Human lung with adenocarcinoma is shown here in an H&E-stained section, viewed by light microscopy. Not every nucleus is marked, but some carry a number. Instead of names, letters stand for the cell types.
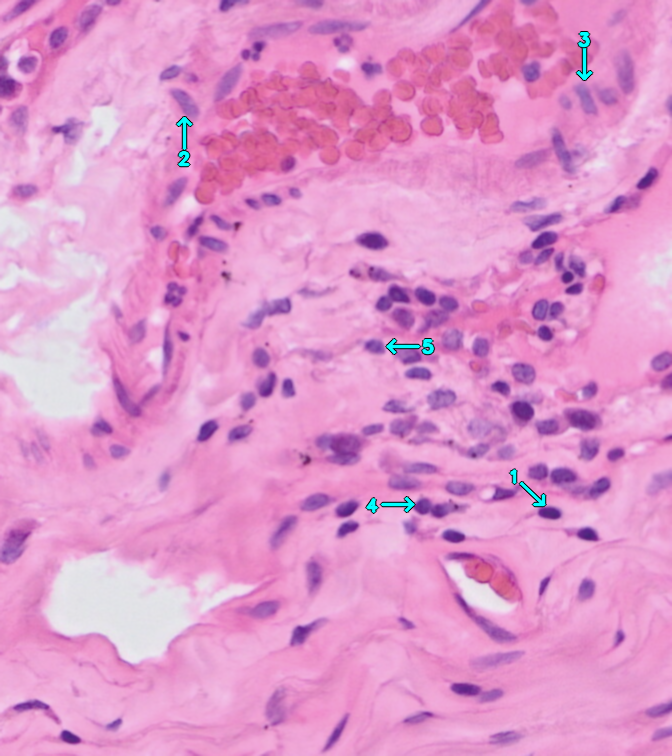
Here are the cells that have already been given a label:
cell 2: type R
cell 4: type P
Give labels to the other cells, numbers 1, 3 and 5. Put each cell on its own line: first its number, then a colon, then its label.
1: type P
3: type R
5: type P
